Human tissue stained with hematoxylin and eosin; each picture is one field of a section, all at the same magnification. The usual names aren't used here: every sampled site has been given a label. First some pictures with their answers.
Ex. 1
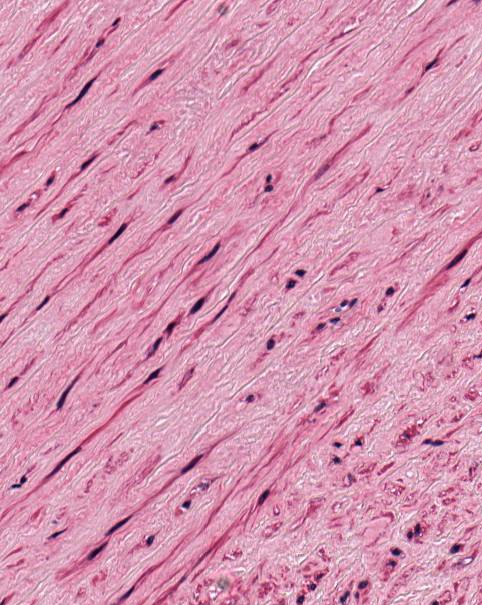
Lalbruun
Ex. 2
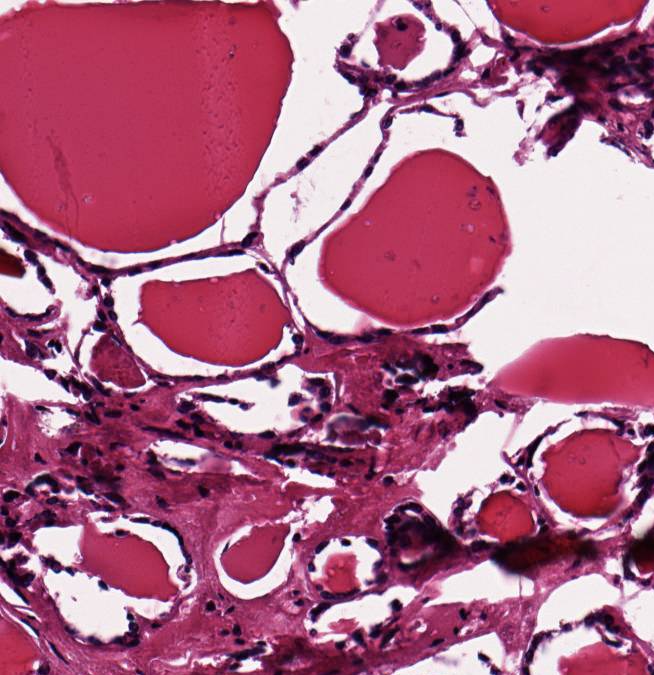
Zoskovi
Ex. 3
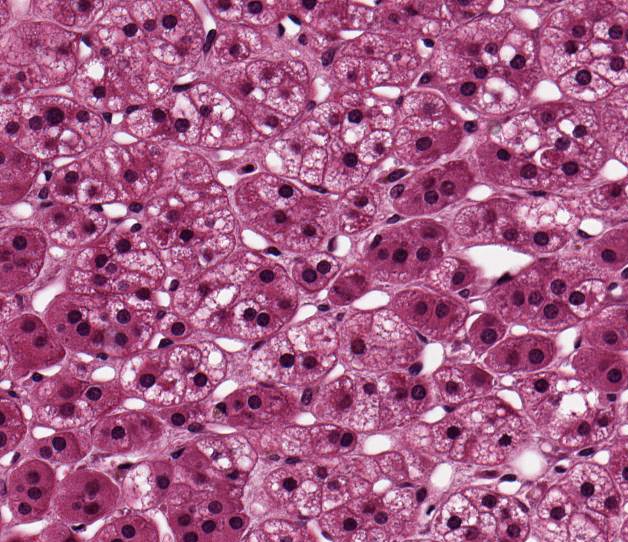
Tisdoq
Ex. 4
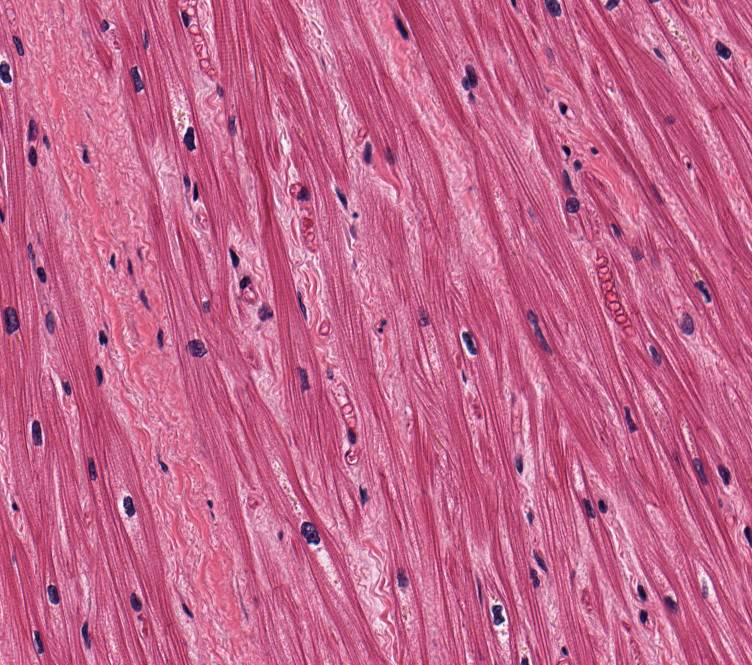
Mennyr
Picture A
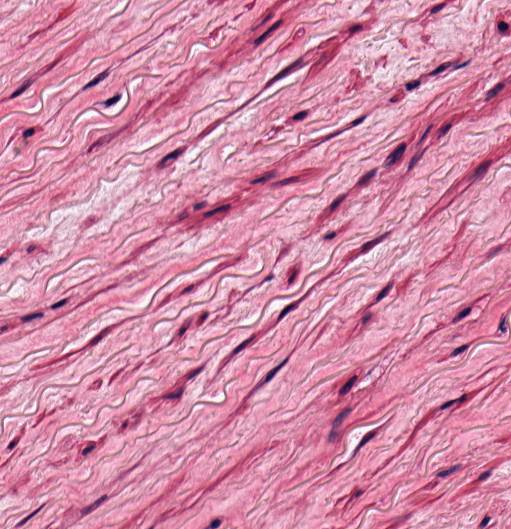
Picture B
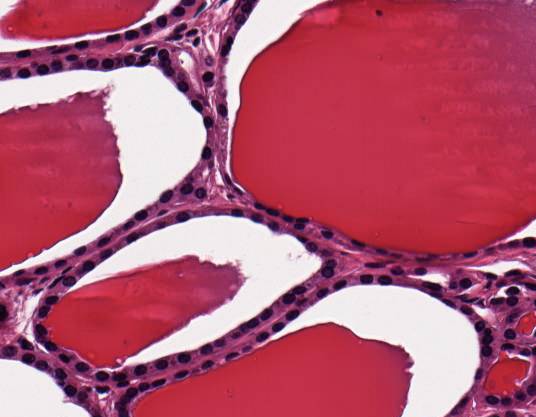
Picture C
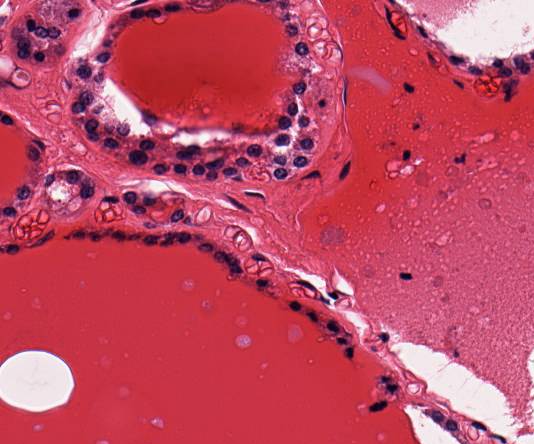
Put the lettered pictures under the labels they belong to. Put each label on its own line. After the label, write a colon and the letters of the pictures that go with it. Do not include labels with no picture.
Lalbruun: A
Zoskovi: B, C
